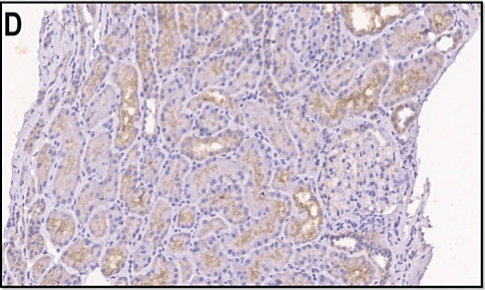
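This is kidney cortex, filled with cross-sections of proximal and distal convoluted tubules. The tubules are lined by cuboidal epithelial cells with round blue nuclei, many around an open lumen. Brown granular stain lies in the cytoplasm of the lining cells of many tubules, strongest toward the lumen in some. Between the tubules the thin interstitium with its small blue nuclei stays unstained.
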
